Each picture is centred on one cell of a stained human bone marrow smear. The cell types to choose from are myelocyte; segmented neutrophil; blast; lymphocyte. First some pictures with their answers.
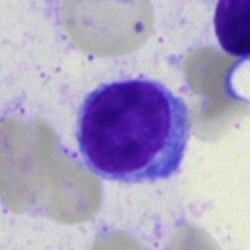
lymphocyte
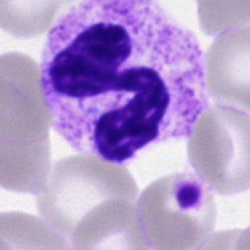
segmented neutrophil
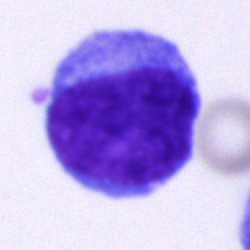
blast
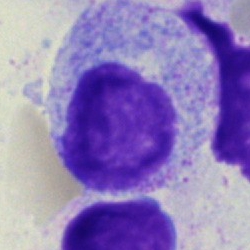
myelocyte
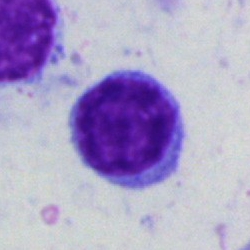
lymphocyte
